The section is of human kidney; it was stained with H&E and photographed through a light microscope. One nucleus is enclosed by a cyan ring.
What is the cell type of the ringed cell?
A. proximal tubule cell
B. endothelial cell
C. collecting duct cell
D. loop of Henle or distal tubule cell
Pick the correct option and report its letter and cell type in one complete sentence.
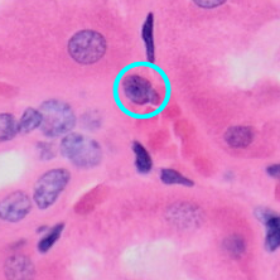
As the ringed cell is an endothelial cell, the correct choice is option B.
